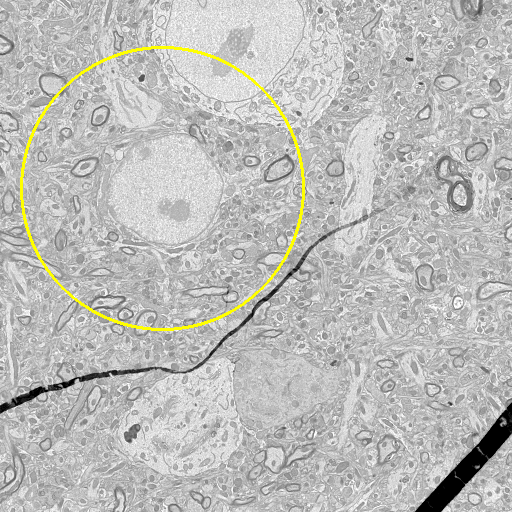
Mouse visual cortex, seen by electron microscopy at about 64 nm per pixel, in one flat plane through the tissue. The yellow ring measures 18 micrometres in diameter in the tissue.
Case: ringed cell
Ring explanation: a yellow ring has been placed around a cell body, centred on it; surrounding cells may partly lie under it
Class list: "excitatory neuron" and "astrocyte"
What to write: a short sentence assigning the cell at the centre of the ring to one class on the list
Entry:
The cell at the ring's centre is an astrocyte.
